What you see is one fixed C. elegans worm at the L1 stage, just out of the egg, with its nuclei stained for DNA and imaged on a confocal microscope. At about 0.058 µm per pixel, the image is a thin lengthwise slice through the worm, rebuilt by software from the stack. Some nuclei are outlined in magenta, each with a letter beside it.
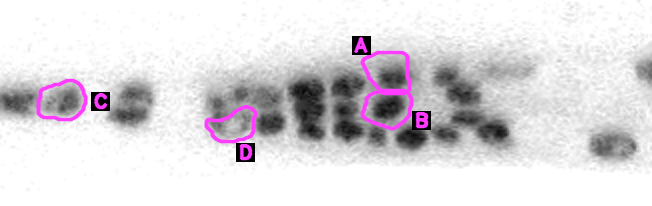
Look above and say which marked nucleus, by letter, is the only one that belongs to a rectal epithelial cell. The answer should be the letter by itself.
B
